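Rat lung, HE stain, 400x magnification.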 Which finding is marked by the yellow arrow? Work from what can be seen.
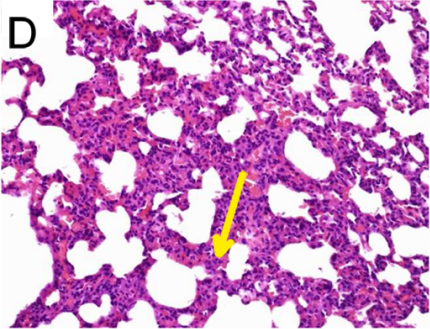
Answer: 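The walls between air spaces are broad and crowded with nuclei. The air spaces are small and irregular.
Answer: Thickened septa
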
